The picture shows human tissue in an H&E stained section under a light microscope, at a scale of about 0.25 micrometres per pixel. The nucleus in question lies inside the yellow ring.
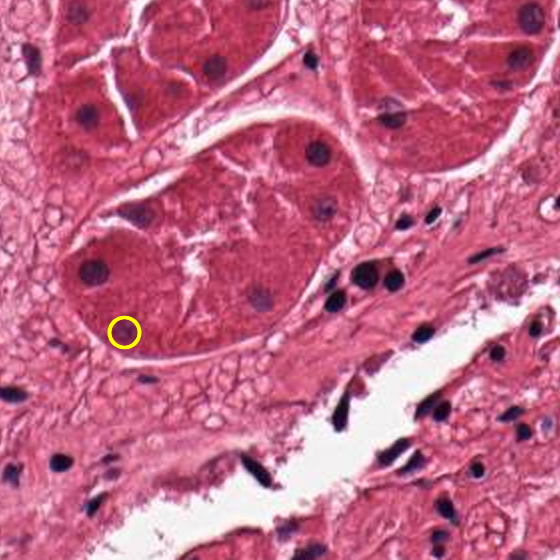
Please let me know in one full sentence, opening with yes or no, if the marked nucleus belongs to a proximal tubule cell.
Yes, the marked nucleus lies within a proximal tubule cell.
